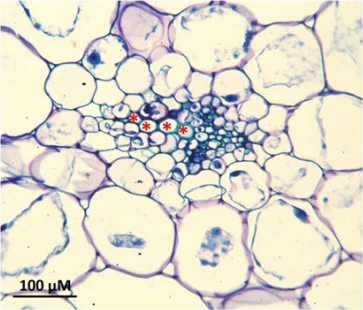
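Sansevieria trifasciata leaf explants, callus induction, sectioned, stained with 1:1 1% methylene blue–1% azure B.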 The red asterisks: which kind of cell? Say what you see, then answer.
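The asterisks mark a short row of clear, thick-walled cells. They lie at the edge of a cluster of small densely stained cells.
Hence: xylem cell.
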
